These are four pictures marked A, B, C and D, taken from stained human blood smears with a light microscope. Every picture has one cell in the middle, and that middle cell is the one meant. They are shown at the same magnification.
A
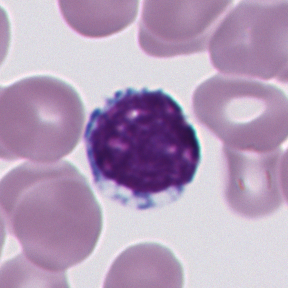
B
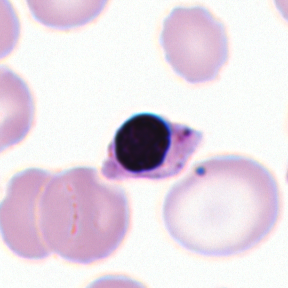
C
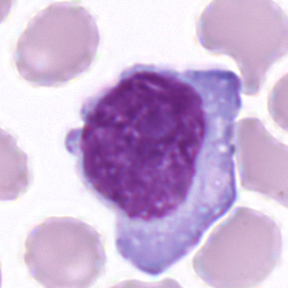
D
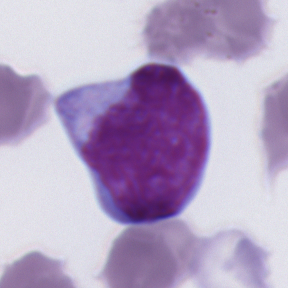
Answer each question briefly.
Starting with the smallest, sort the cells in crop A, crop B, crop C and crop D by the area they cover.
B, A, D, C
